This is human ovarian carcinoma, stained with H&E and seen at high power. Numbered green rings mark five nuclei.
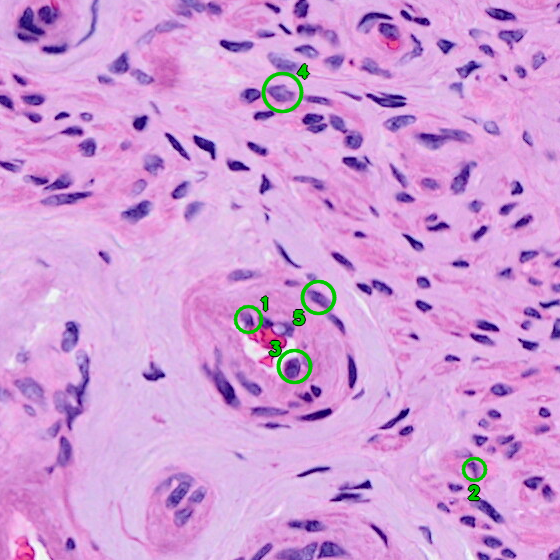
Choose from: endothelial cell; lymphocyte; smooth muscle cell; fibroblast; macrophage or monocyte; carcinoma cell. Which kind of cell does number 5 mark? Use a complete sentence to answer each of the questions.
Cell 5 is classified as a smooth muscle cell.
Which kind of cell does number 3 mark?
The cell numbered 3 represents an endothelial cell.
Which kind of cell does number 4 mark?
The identity of cell 4 is that of a smooth muscle cell.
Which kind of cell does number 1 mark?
Belonging to an endothelial cell is the nucleus that carries the number 1.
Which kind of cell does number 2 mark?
The cell tagged with 2 in this tissue section is a smooth muscle cell.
